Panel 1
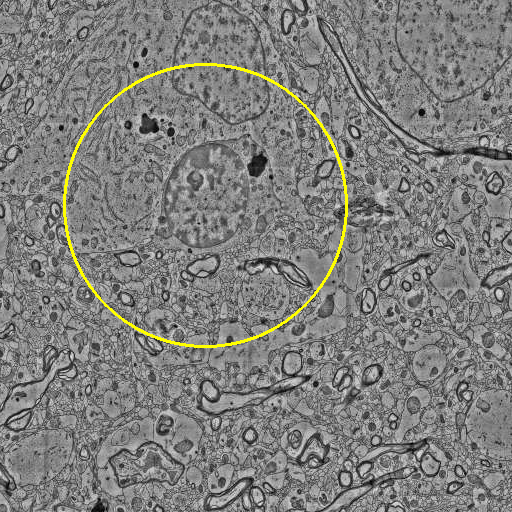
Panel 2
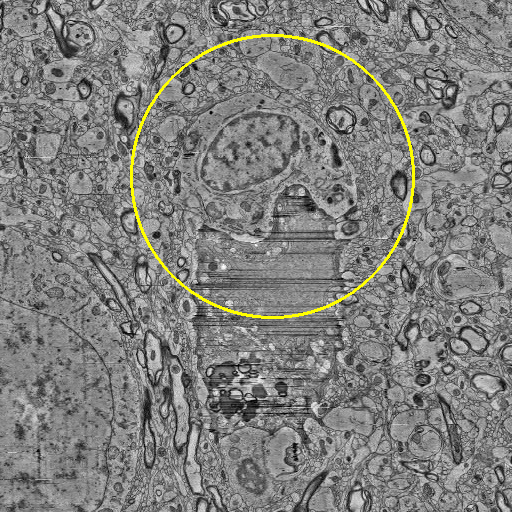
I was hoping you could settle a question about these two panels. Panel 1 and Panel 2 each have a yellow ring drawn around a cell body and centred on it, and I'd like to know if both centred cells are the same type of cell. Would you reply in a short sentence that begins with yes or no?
No, they are two types of cell.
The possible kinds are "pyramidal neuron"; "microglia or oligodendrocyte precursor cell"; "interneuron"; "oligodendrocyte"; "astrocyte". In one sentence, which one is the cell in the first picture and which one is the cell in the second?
The cell ringed in the second picture is a microglial cell or oligodendrocyte precursor cell, whereas the one ringed in the first is an oligodendrocyte.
